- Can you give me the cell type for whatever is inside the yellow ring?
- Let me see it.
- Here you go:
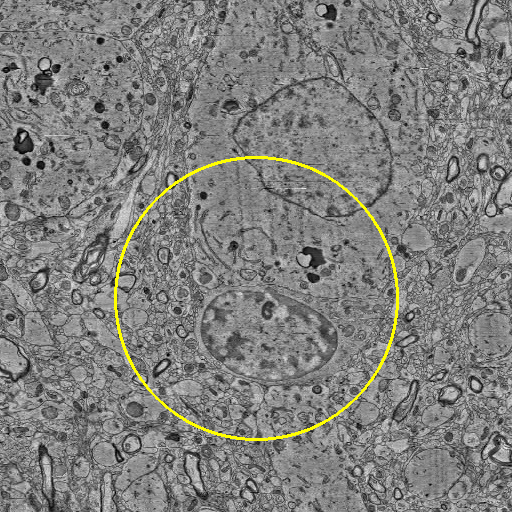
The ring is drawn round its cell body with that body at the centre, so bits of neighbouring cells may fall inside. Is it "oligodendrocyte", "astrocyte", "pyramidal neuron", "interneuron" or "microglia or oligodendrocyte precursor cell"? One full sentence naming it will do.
The cell body in the middle of the ring in this picture belongs to an oligodendrocyte.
